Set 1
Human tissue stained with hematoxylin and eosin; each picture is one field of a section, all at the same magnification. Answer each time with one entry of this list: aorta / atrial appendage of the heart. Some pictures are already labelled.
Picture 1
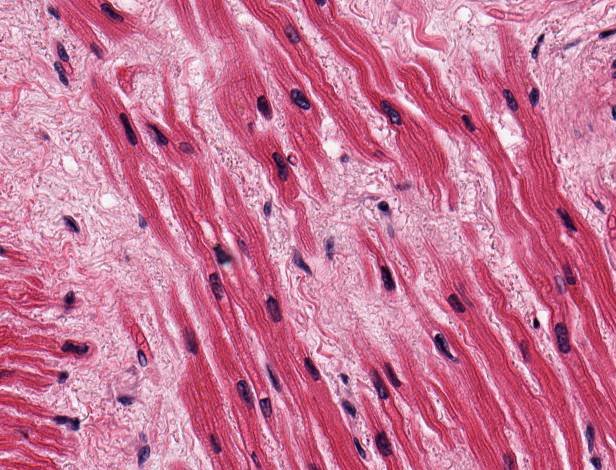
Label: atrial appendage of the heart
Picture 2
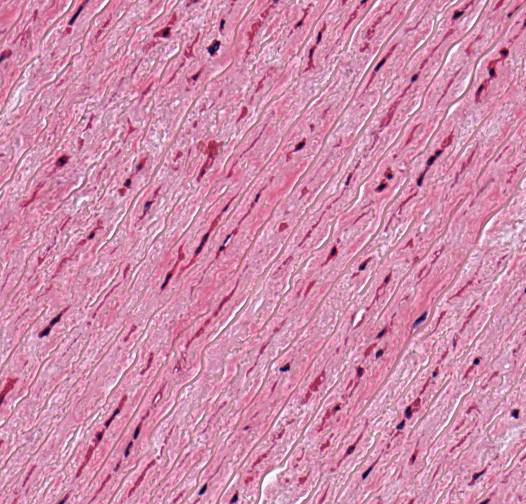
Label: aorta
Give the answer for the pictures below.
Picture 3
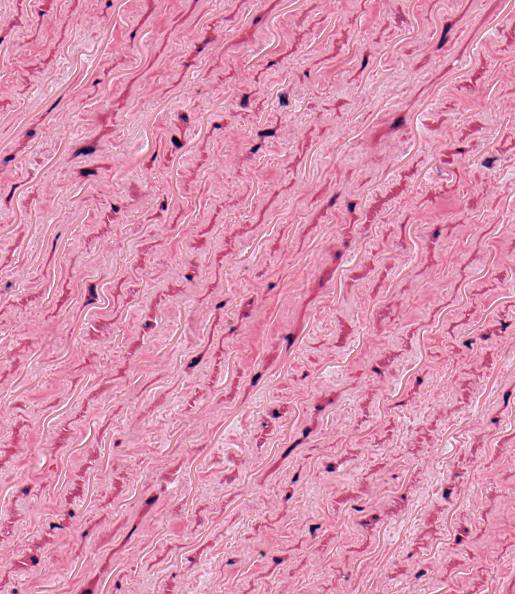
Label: aorta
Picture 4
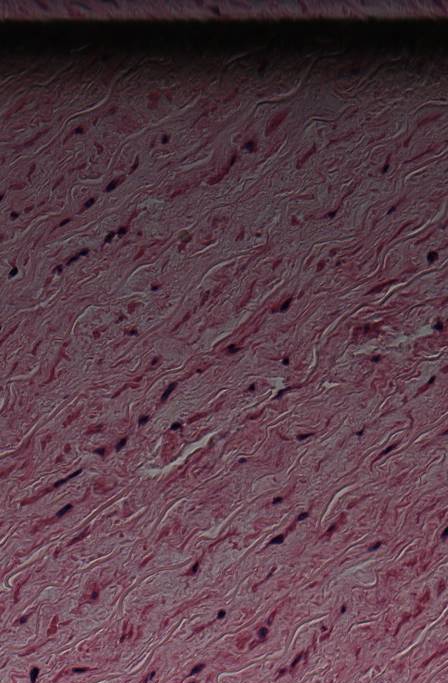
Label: aorta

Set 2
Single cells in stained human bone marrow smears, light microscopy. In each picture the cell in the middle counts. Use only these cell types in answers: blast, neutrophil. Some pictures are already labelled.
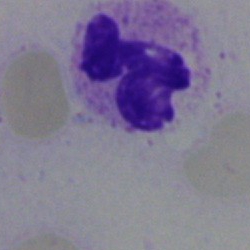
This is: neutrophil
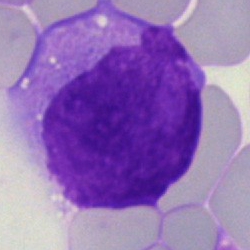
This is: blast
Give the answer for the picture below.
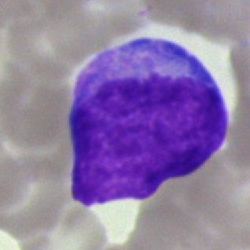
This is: blast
